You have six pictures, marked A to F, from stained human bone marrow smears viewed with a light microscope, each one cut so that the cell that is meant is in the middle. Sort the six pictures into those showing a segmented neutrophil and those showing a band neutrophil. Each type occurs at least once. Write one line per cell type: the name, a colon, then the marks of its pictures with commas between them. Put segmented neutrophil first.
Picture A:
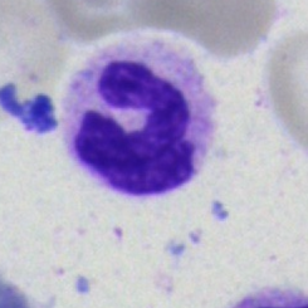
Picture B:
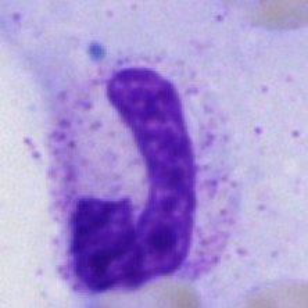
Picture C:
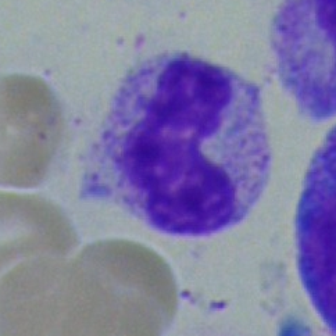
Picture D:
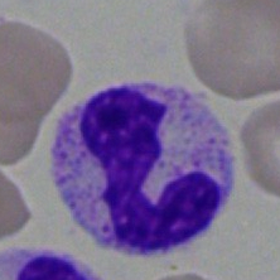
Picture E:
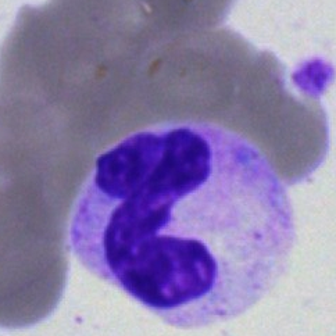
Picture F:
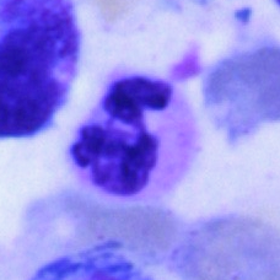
segmented neutrophil: E, F
band neutrophil: A, B, C, D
